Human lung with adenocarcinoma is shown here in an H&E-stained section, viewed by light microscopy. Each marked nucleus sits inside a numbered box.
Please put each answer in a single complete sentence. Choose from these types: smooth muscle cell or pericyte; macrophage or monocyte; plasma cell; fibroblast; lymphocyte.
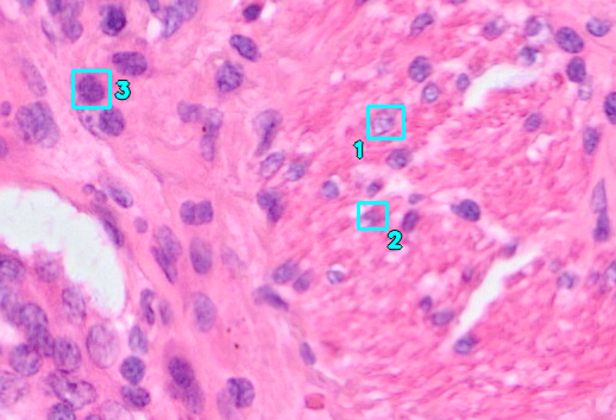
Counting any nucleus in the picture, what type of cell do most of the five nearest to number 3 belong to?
Fibroblasts make up most of the five nuclei closest to number 3.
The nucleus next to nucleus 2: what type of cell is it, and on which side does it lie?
The nearest one is a smooth muscle cell or pericyte, found above nucleus 2.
